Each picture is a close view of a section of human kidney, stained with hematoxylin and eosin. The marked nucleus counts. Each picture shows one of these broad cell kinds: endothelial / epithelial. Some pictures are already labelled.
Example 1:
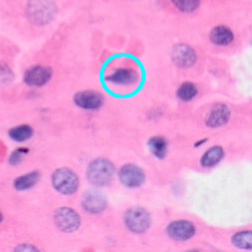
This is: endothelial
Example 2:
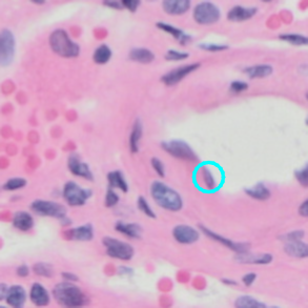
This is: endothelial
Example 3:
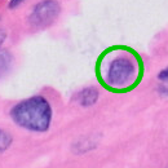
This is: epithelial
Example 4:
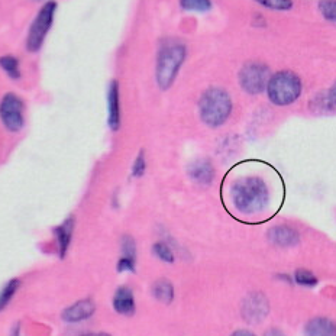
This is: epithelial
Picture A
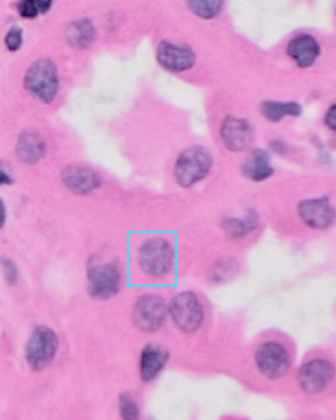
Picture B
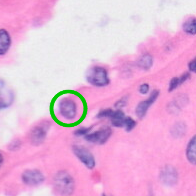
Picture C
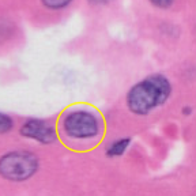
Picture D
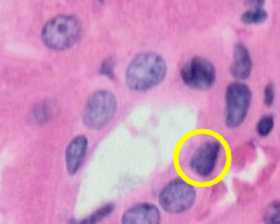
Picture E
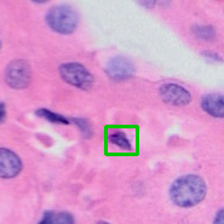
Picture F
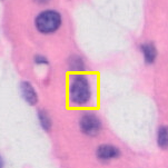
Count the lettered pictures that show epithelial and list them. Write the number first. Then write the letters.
5, namely A, B, C, D, F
